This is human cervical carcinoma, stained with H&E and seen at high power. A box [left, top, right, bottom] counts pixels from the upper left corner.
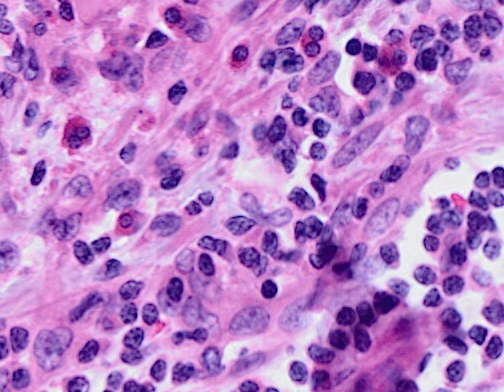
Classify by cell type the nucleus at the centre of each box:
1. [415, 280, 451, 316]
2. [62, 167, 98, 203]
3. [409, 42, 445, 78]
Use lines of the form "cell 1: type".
cell 1: lymphocyte
cell 2: endothelial cell
cell 3: lymphocyte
